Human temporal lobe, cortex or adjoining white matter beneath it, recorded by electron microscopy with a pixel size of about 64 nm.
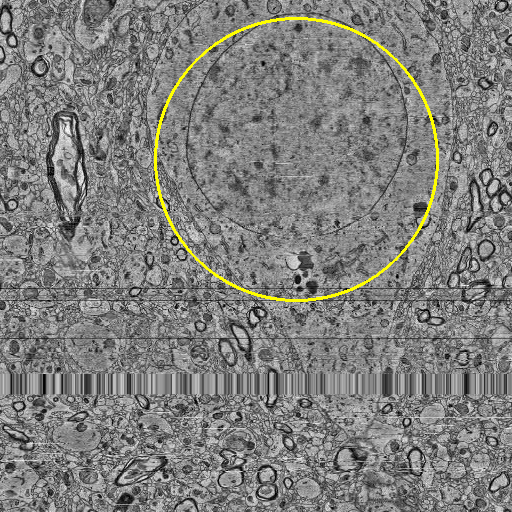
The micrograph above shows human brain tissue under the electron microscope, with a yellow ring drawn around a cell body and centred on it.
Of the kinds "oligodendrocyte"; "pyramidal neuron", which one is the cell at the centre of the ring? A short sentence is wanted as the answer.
The one at the centre of the ring is a pyramidal neuron.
